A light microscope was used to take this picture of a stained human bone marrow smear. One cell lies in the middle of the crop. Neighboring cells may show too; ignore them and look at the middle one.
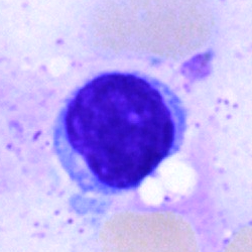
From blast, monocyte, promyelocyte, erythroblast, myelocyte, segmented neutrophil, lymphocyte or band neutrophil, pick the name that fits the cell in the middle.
lymphocyte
